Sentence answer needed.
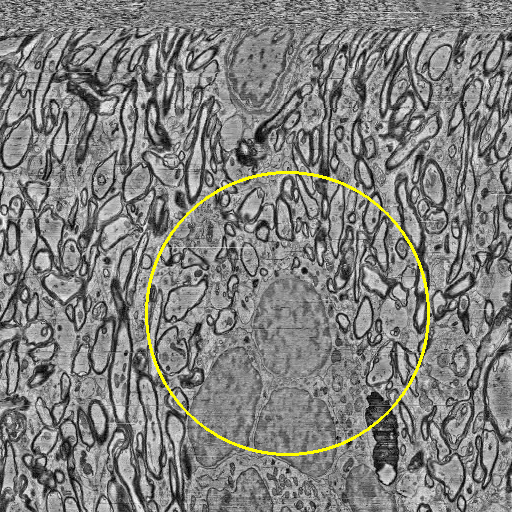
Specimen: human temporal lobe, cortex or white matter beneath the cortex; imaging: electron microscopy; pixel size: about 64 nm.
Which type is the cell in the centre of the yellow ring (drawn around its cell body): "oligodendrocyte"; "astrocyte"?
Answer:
In the centre of the yellow ring is an oligodendrocyte.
